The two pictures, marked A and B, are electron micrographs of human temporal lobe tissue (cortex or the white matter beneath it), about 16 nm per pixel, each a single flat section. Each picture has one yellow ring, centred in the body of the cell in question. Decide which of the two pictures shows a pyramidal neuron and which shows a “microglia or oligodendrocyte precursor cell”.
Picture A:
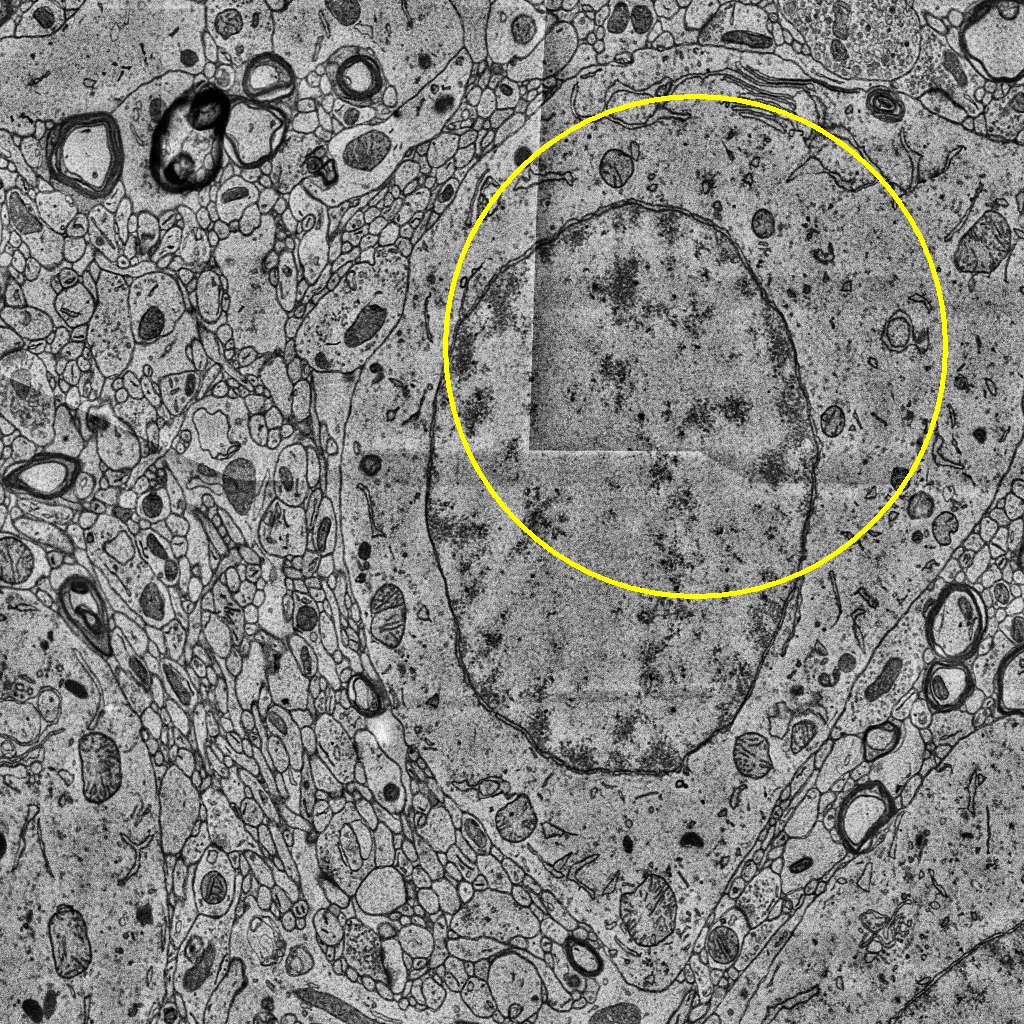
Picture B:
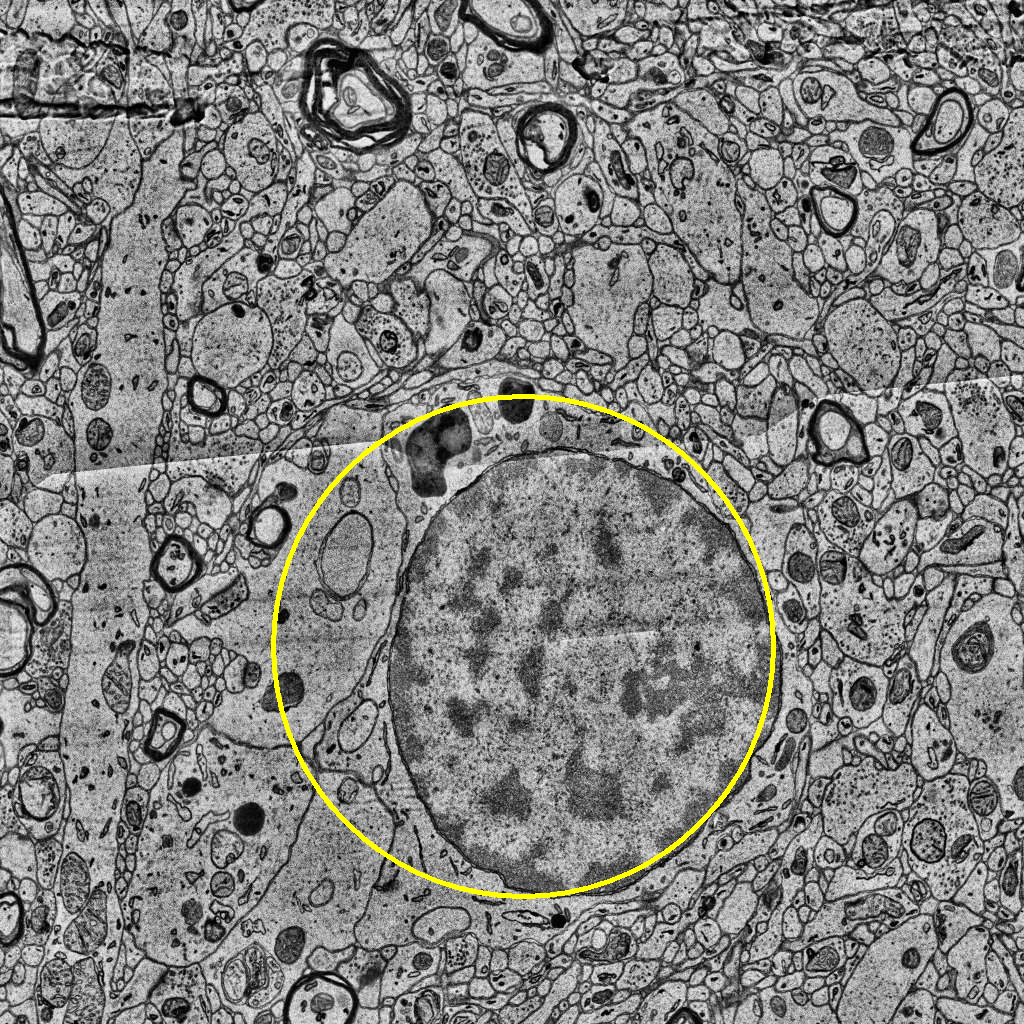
Picture A shows a pyramidal neuron and picture B shows a “microglia or oligodendrocyte precursor cell”.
